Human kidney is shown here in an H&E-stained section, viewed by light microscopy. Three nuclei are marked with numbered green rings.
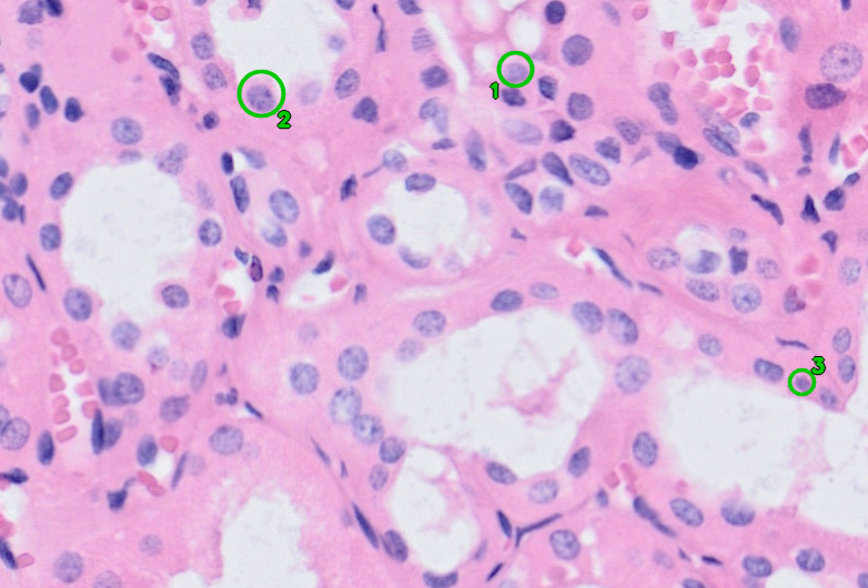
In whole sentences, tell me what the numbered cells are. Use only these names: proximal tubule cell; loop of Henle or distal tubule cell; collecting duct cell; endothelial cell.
Cell 1 is a collecting duct cell, cell 2 is a loop of Henle or distal tubule cell and cell 3 is a loop of Henle or distal tubule cell.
